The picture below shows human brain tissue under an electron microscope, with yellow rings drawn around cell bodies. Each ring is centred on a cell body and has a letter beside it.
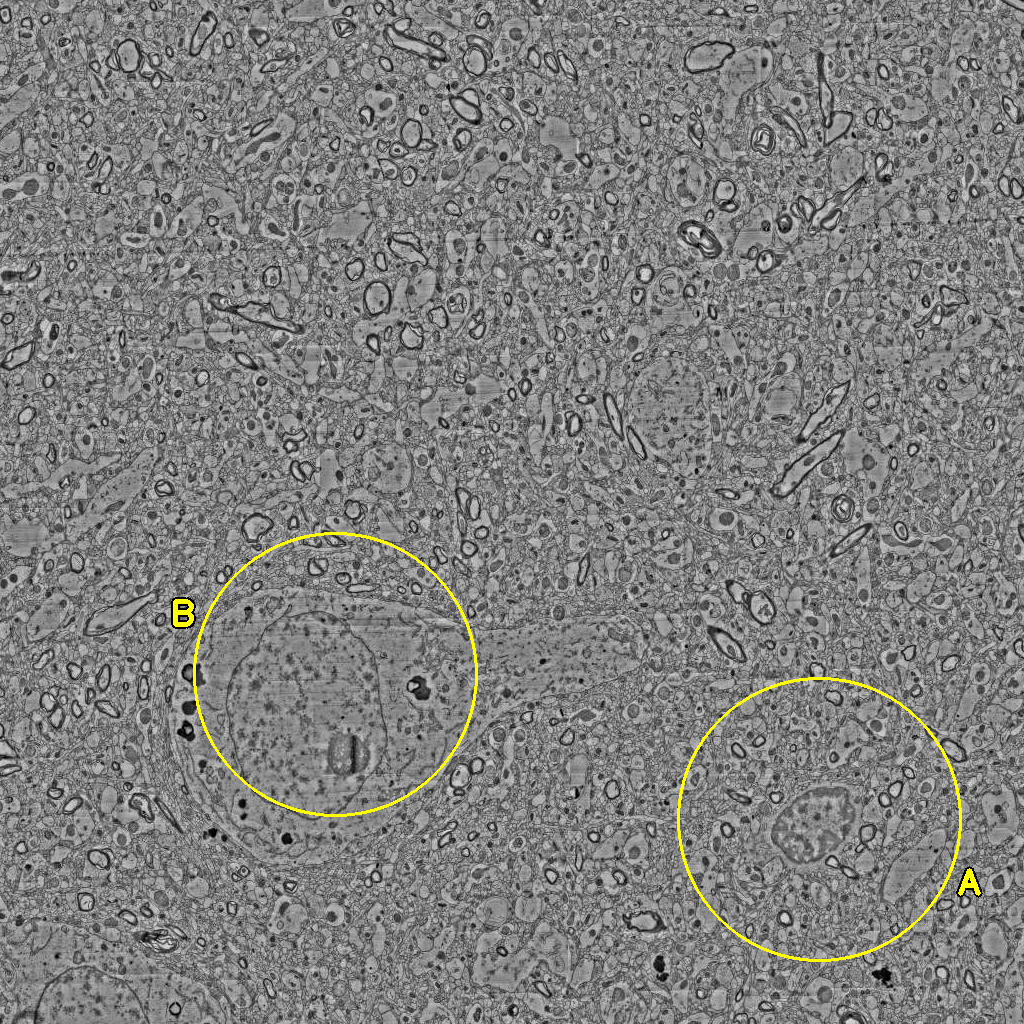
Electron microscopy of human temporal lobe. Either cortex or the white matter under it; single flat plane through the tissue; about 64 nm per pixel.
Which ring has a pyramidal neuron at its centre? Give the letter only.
B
